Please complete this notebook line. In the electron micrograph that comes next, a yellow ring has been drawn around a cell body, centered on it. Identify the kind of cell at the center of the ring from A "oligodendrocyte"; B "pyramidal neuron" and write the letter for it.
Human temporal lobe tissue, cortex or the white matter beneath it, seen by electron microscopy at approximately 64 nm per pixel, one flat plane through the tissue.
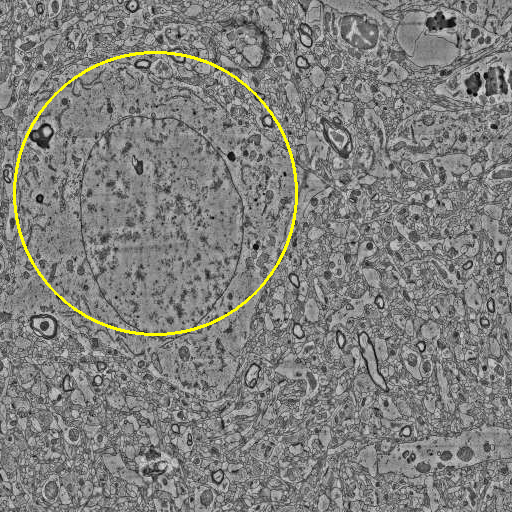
B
